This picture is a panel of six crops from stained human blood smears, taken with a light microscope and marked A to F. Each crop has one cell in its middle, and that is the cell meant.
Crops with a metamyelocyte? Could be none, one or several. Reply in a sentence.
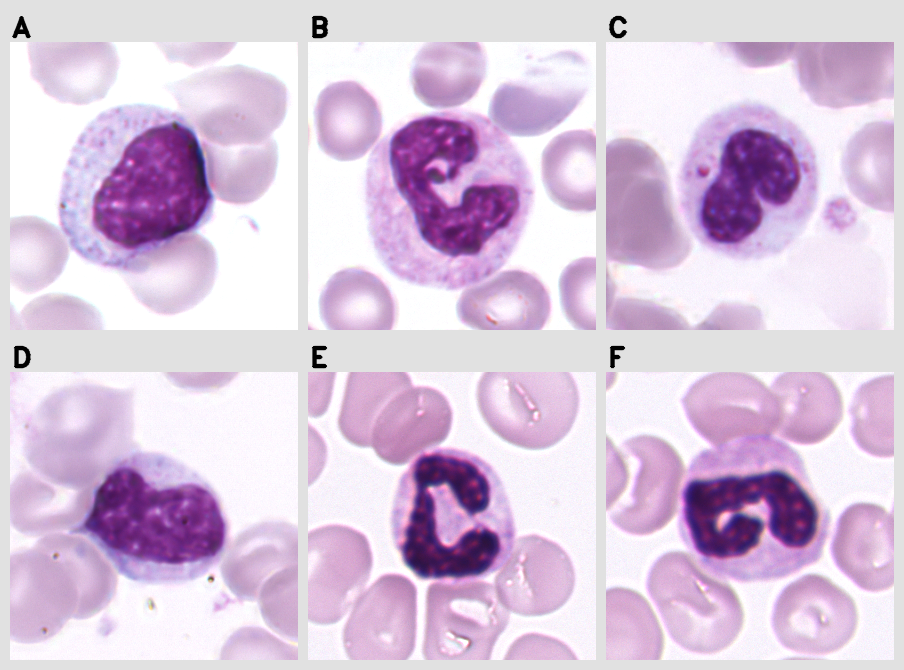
Crops A and D are designated as showing metamyelocytes.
